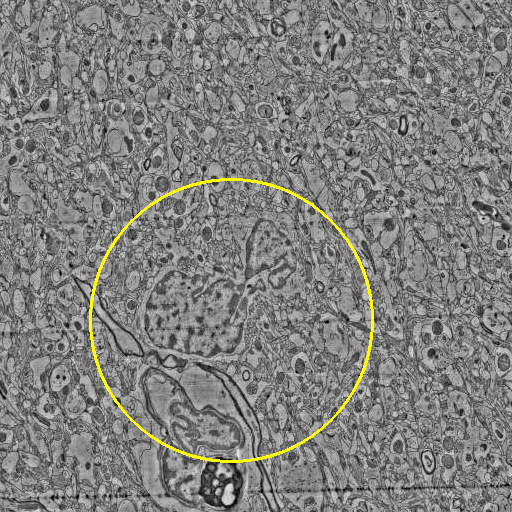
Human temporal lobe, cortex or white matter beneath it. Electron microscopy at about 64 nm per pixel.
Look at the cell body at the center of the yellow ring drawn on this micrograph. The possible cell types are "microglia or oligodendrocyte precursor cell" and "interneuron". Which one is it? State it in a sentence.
The cell in the middle of the ring is a microglial cell or oligodendrocyte precursor cell.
